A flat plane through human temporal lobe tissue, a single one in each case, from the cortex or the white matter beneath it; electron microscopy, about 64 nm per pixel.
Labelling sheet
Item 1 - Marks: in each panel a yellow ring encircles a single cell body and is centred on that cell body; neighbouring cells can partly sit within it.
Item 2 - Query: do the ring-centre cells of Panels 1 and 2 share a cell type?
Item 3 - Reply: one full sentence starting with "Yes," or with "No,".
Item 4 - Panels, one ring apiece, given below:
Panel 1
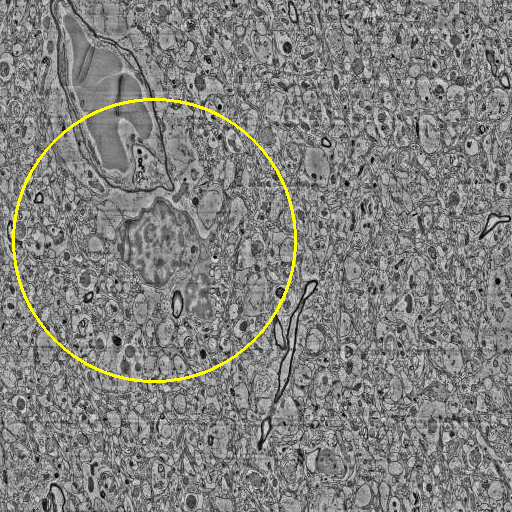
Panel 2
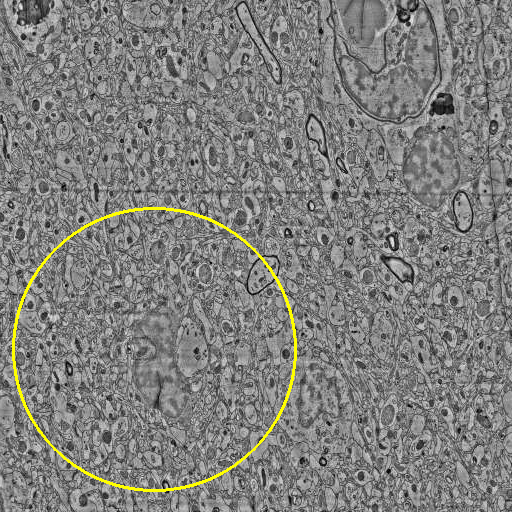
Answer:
Yes, Panel 1 and Panel 2 show one cell type at the centres of their rings.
